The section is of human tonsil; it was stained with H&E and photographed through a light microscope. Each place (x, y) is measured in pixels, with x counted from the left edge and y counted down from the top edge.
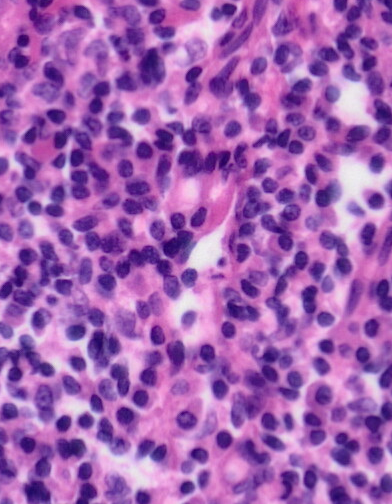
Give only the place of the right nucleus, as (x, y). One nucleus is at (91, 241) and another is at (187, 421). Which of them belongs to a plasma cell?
(187, 421)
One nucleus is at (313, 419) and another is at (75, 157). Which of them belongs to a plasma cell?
(313, 419)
